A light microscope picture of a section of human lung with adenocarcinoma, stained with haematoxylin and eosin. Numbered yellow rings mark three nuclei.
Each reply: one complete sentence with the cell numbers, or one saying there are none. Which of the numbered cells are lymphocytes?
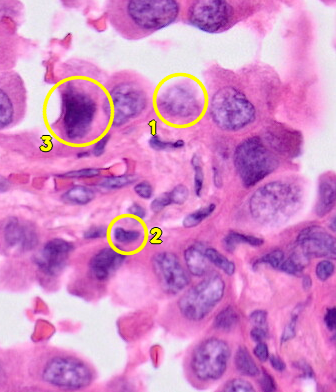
The numbered cells include exactly one that is a lymphocyte, which is cell 2.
